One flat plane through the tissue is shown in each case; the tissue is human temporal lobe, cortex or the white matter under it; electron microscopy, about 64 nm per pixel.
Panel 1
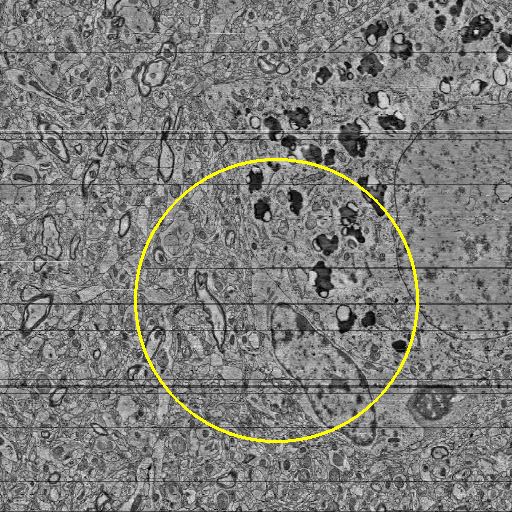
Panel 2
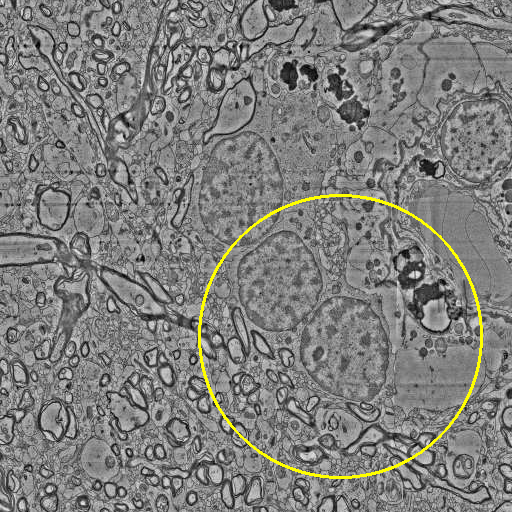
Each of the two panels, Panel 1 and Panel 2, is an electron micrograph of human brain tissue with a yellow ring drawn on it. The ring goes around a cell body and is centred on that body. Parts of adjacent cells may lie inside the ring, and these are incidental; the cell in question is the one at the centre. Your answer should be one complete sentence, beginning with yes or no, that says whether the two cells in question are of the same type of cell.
No, the two cells are of two types.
